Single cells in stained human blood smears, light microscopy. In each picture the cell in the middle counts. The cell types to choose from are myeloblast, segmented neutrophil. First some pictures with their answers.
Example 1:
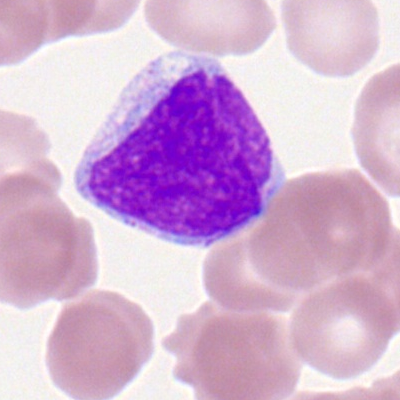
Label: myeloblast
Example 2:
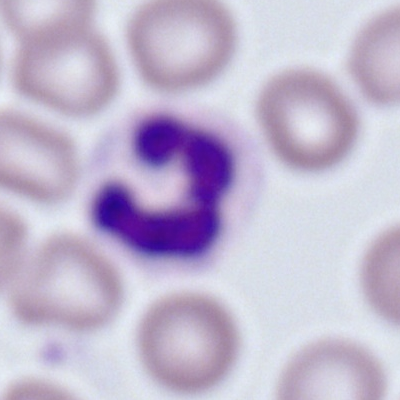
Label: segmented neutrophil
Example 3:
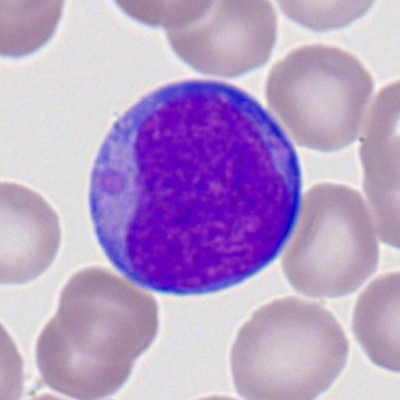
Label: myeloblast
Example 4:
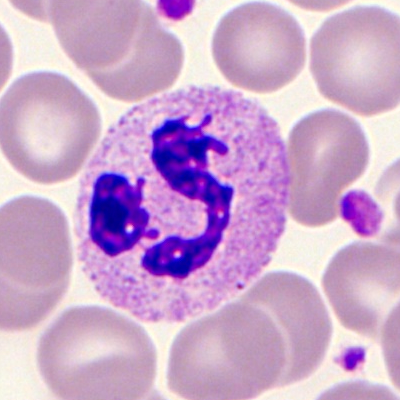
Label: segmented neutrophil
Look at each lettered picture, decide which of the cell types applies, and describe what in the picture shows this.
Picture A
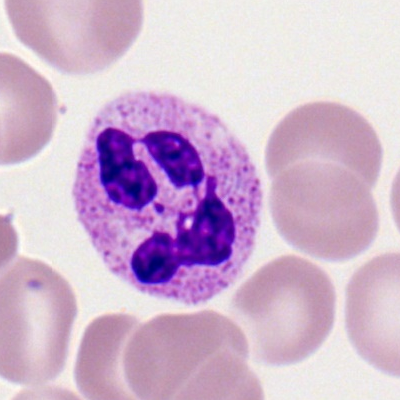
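segmented neutrophil: The nucleus is divided into several separate lobes.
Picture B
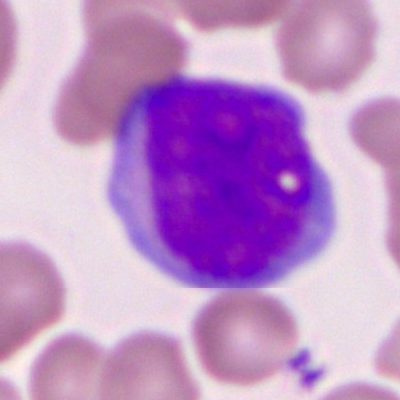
myeloblast: The nucleus fills most of the cell.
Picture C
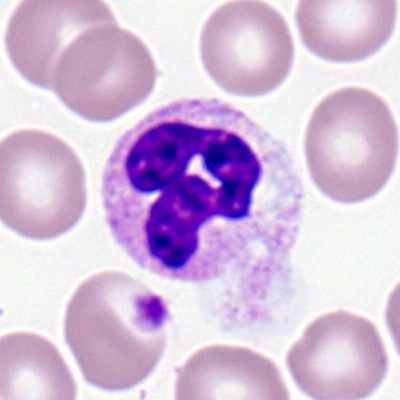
segmented neutrophil: The cytoplasm is plentiful and pale pink.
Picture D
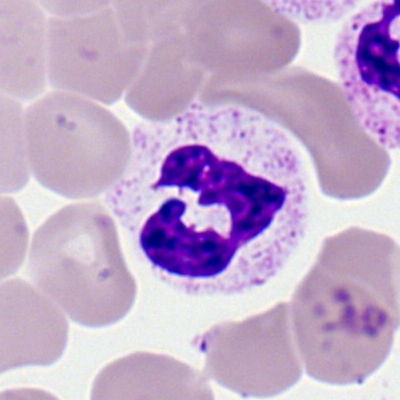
segmented neutrophil: The nucleus is bent into a C shape that opens toward the left.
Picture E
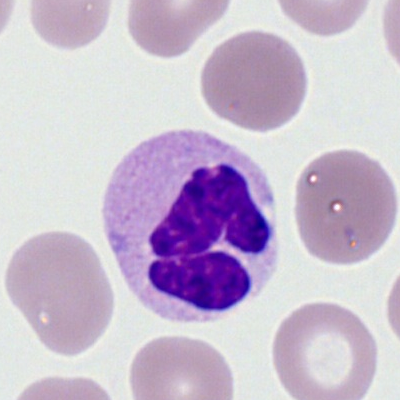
segmented neutrophil: The nucleus is split into lobes, with a pale gap separating the lower lobe from the upper part.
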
